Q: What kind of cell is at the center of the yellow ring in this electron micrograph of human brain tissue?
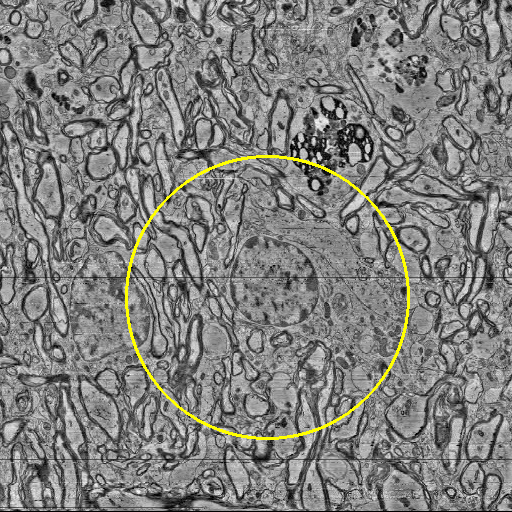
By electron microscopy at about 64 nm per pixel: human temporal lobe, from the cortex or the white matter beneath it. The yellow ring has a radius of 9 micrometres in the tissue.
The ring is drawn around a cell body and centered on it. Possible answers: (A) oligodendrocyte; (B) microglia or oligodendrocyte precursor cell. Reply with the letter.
B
